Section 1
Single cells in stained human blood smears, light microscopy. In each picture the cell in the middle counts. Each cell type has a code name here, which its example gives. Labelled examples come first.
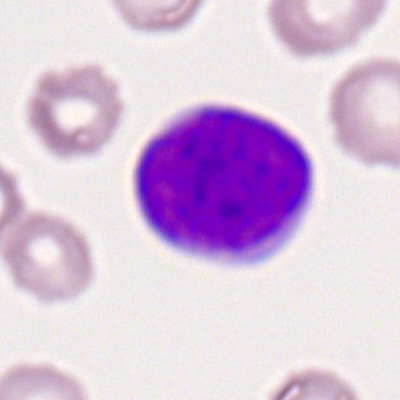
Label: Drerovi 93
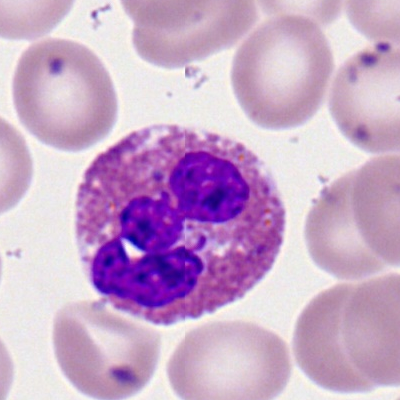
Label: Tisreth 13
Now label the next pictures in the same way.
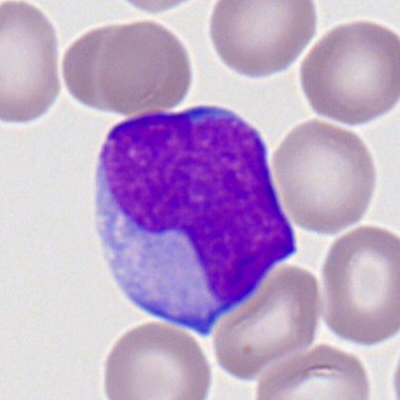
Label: Drerovi 93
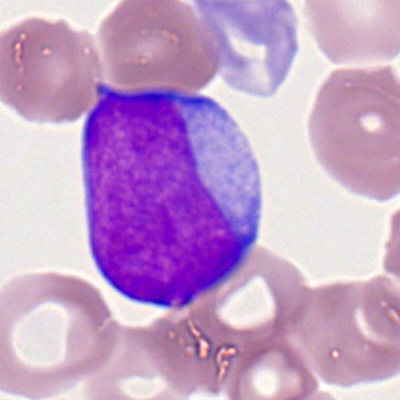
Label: Drerovi 93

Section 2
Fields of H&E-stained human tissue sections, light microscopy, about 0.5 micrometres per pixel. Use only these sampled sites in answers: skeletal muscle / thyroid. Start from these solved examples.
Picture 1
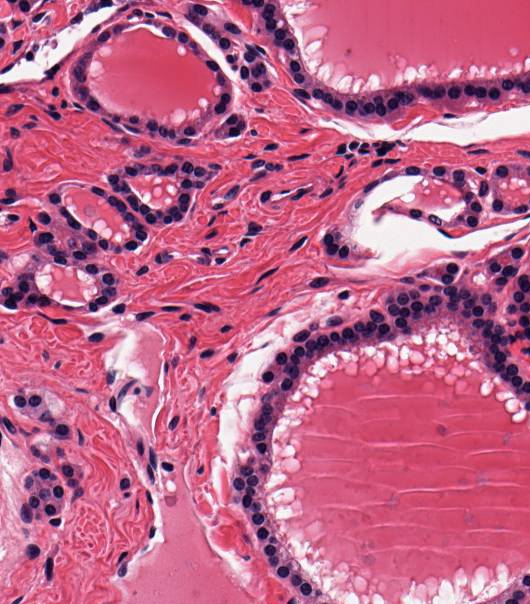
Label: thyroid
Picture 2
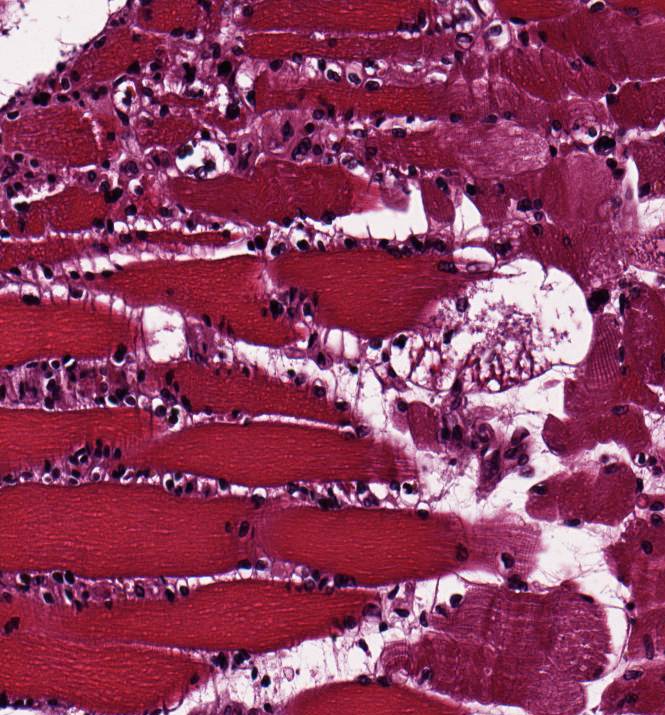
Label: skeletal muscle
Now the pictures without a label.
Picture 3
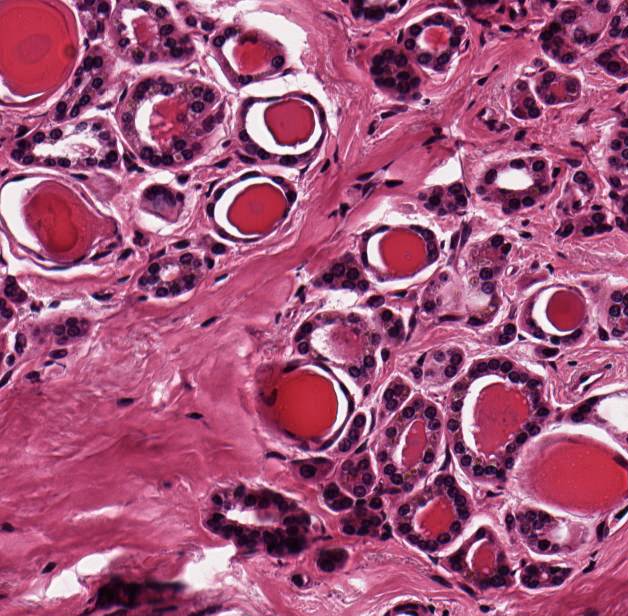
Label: thyroid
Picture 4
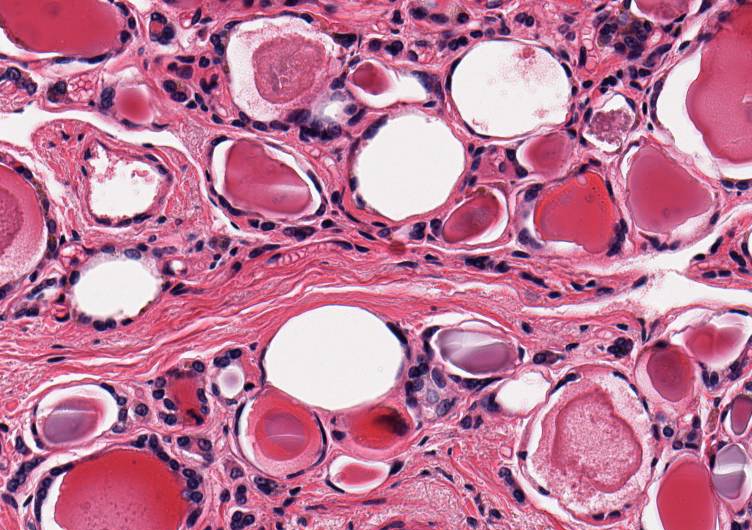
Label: thyroid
